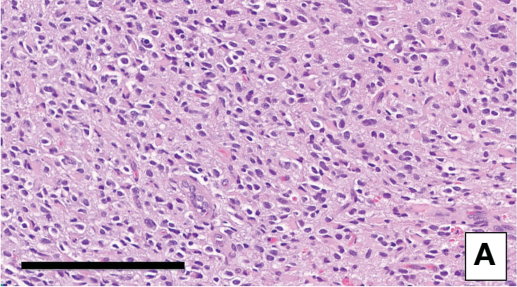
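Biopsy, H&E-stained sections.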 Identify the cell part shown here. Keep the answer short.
perinuclear halos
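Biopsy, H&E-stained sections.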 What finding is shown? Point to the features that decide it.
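Densely cellular diffuse glioma. Tumor cells are packed closely throughout the field. Cells lie within a pink fibrillary background without forming sharp borders or glands.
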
